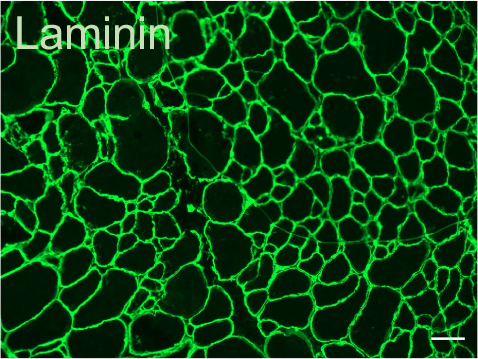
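Cross-section of skeletal muscle with green lines outlining the myofibers as a network of closed profiles. The fibers vary in size and shape, with some large rounded profiles lying among clusters of small ones, and the green borders are thicker or more irregular in places.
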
